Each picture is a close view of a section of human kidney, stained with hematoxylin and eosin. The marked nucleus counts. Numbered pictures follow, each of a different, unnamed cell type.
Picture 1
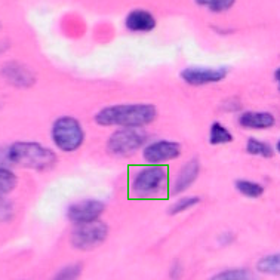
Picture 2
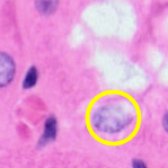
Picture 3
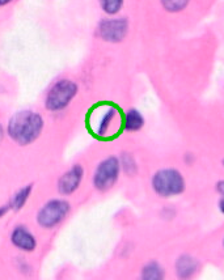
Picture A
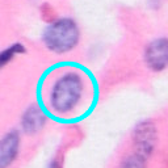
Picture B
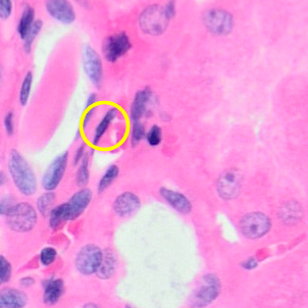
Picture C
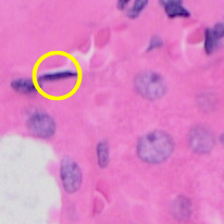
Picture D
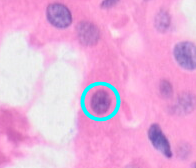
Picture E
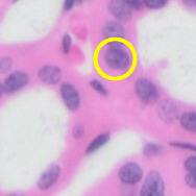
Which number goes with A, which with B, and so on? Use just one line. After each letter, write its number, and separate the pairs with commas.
A 1, B 3, C 3, D 2, E 1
